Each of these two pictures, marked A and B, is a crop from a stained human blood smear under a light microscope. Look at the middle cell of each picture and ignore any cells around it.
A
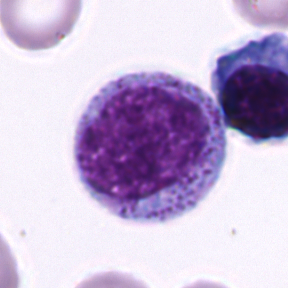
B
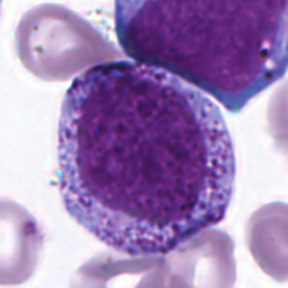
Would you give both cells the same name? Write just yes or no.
no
